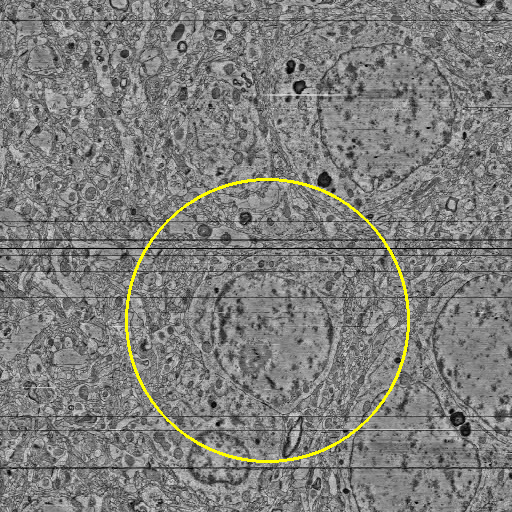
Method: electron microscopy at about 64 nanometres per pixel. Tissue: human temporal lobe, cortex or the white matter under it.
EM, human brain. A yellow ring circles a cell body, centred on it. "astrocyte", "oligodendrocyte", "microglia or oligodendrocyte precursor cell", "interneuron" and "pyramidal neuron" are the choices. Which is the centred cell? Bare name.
interneuron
